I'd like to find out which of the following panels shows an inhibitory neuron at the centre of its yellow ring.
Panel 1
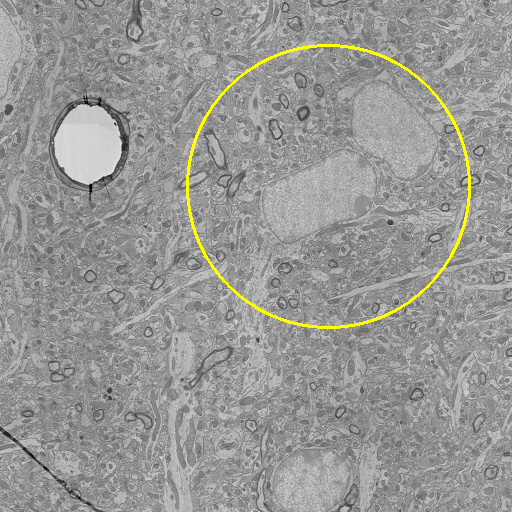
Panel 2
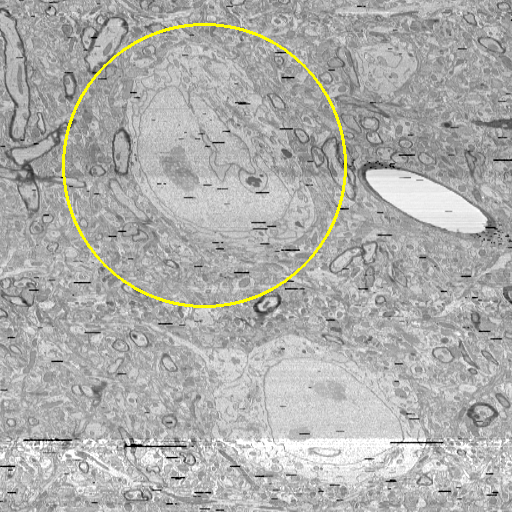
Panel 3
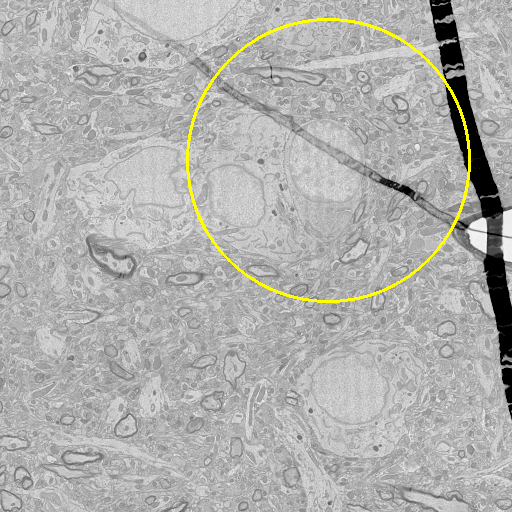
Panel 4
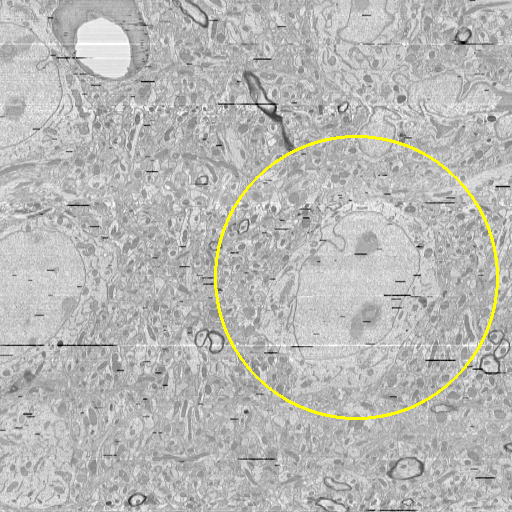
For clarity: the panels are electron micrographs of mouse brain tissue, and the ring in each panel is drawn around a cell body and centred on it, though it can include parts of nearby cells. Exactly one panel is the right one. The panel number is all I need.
2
